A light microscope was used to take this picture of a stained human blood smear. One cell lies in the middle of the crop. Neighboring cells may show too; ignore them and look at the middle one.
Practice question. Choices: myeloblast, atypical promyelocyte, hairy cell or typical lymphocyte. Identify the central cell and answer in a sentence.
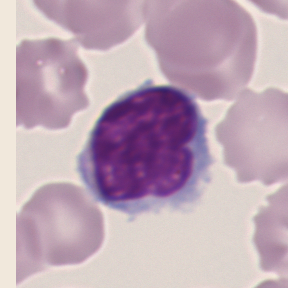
The crop's centre is taken up by a hairy cell.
